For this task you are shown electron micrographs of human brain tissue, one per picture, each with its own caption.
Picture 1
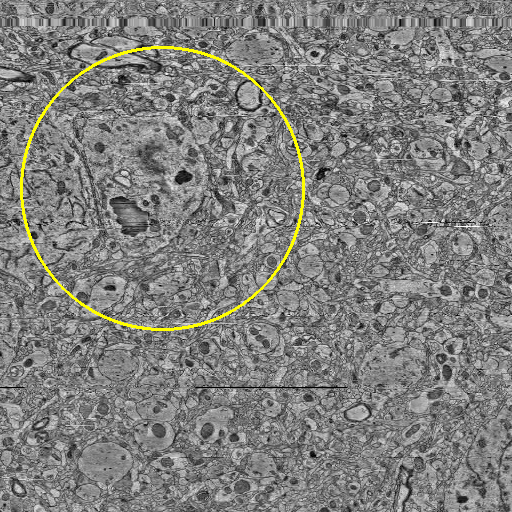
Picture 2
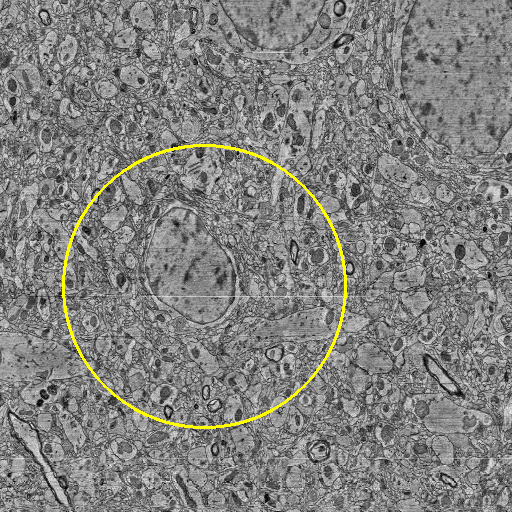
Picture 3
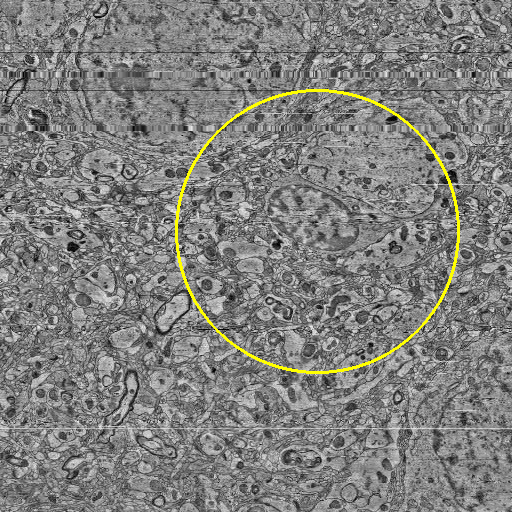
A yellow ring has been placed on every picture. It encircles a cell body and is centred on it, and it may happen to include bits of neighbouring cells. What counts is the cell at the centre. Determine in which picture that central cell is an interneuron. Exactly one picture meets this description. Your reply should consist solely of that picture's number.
1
